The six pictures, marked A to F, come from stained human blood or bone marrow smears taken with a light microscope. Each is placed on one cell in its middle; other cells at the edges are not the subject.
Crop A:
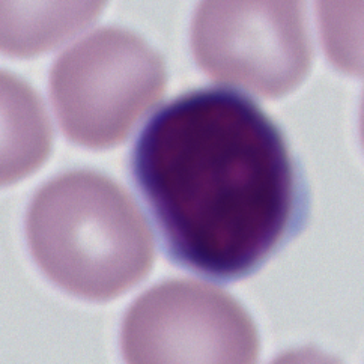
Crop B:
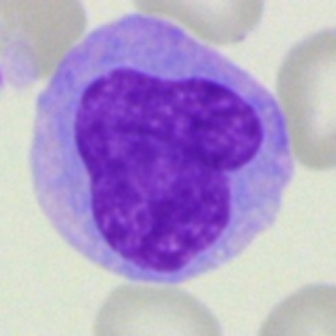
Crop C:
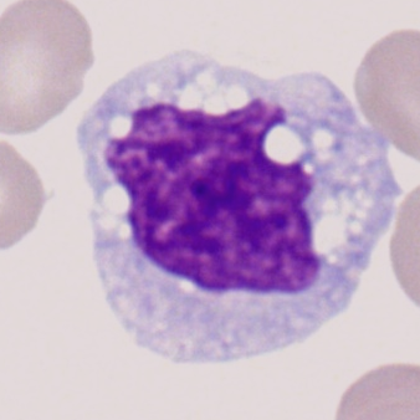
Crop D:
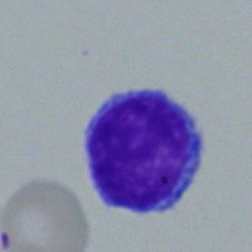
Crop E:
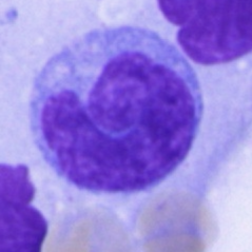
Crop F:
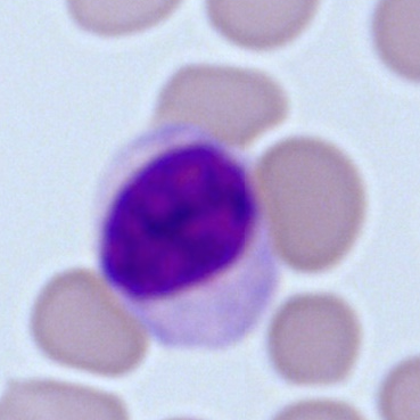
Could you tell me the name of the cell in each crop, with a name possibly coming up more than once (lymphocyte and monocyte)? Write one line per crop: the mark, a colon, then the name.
A: lymphocyte
B: monocyte
C: monocyte
D: lymphocyte
E: monocyte
F: lymphocyte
